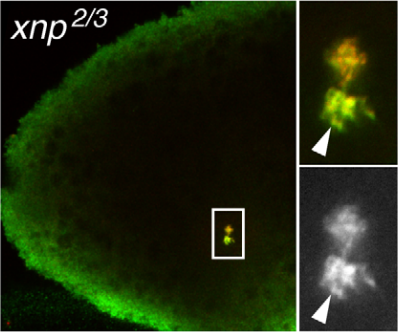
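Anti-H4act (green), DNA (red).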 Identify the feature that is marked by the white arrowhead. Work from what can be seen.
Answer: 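The arrowhead points to the lower of two chromosome clusters. The lower cluster is more strongly green than the upper, more red one. The answer: paternal chromosomes.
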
